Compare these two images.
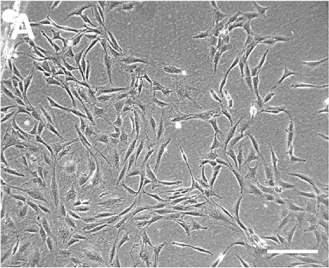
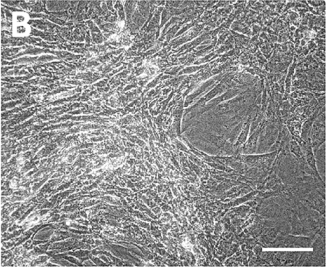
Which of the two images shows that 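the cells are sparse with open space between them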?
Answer: The first image.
